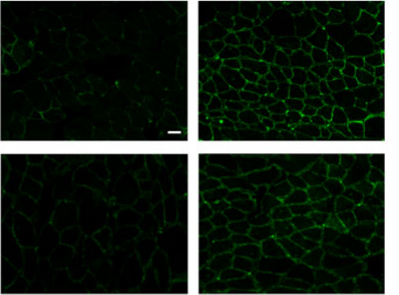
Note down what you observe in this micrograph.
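Skeletal muscle is seen in transverse section, with tightly packed polygonal fibre profiles of fairly even size. Each profile is rimmed by a thin green line at its border, and small bright dots sit where several fibres meet. The fibre interiors are dark. In some fields the rims are faint and patchy; in others they are bright and continuous, forming a crisp honeycomb.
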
